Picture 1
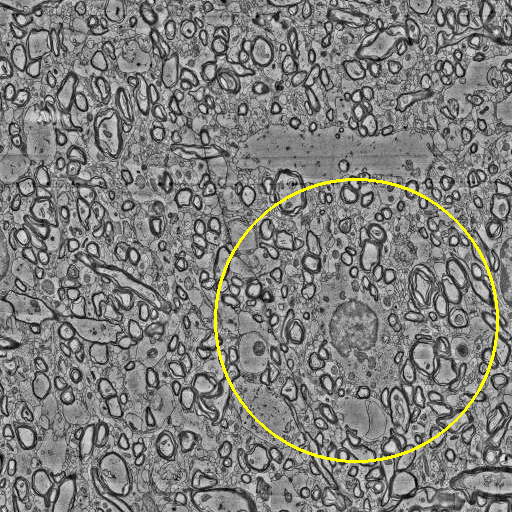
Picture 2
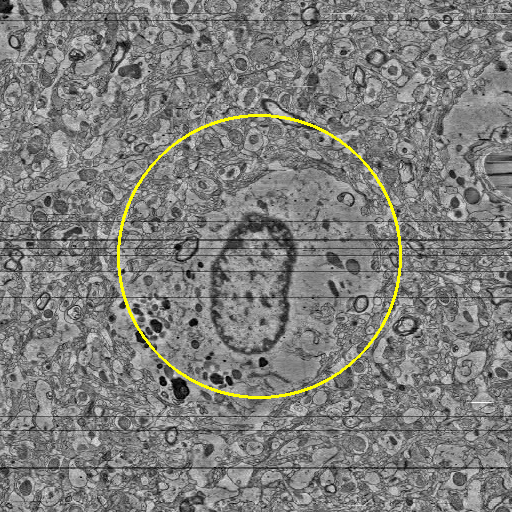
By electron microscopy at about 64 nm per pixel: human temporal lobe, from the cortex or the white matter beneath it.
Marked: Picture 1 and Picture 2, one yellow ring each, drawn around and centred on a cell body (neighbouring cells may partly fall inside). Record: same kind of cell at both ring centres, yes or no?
no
